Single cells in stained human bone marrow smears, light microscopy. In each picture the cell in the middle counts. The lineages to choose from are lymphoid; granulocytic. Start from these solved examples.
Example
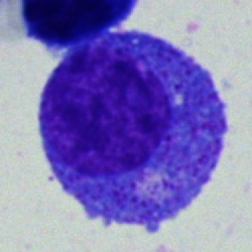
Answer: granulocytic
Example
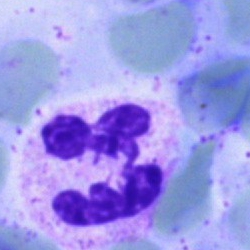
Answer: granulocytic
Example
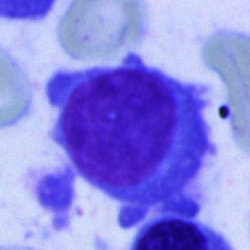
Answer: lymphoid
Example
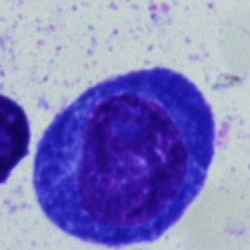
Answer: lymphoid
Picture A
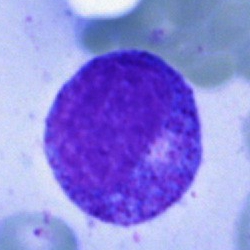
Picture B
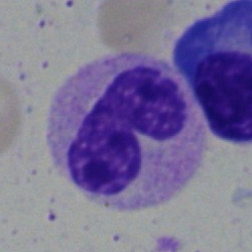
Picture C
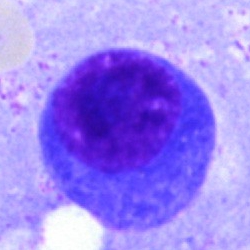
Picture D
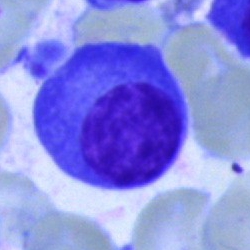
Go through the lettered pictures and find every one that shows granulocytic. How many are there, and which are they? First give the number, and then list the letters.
2: A, B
